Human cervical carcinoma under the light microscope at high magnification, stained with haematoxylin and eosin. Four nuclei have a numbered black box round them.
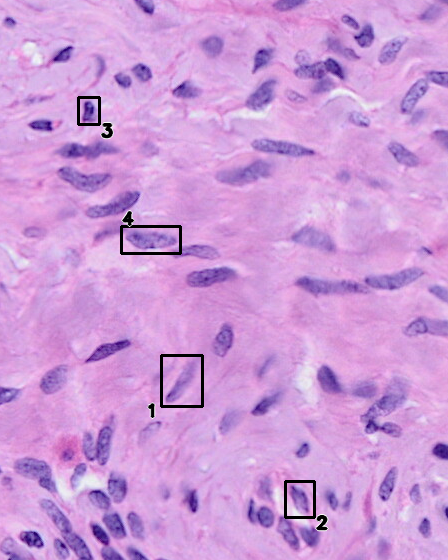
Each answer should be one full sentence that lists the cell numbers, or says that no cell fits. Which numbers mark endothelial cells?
Cell 2 is an endothelial cell, while all remaining marked cells are of other types.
